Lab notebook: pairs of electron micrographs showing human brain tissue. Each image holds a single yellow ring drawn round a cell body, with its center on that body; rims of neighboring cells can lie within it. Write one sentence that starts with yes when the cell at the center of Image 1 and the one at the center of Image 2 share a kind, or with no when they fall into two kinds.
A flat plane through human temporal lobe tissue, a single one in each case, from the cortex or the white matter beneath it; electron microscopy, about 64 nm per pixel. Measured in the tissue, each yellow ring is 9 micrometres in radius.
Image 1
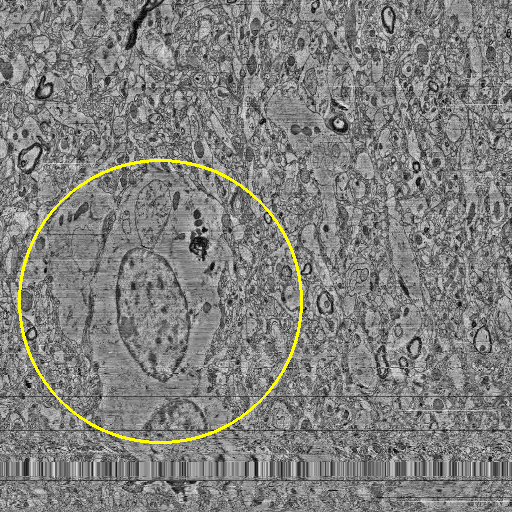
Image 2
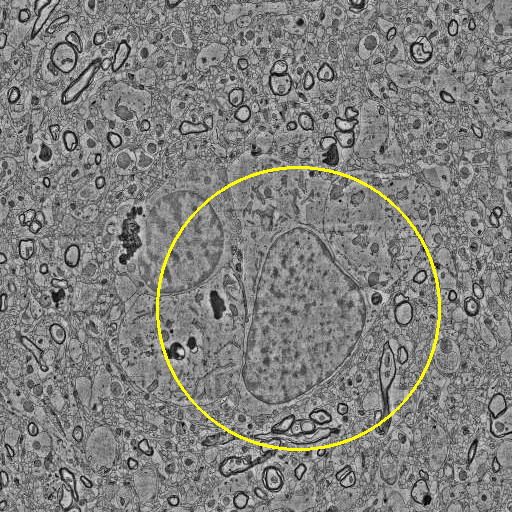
No, the centered cell in Image 1 and the centered cell in Image 2 are of two kinds.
